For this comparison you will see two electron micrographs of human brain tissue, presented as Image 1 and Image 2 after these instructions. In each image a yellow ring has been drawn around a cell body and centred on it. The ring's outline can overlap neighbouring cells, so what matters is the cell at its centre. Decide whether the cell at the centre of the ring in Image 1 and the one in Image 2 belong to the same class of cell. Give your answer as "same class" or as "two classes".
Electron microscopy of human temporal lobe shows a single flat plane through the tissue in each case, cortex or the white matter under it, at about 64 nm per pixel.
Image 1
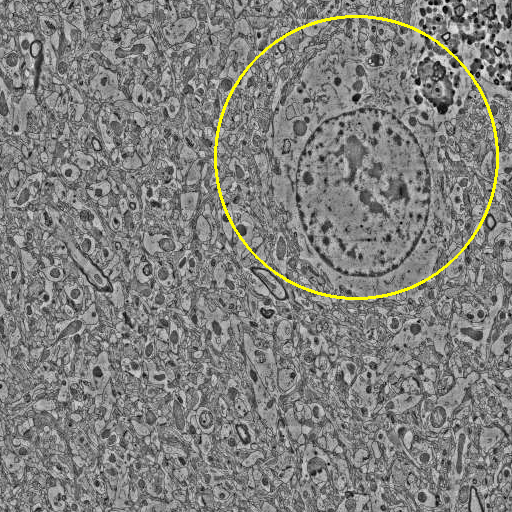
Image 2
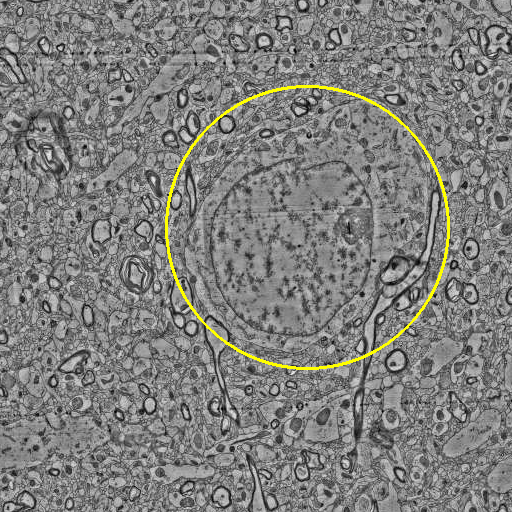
two classes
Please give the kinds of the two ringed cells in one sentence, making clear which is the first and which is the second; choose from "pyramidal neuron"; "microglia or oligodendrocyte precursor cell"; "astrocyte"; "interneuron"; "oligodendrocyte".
In the second picture the ringed cell is a pyramidal neuron; in the first it is an astrocyte.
